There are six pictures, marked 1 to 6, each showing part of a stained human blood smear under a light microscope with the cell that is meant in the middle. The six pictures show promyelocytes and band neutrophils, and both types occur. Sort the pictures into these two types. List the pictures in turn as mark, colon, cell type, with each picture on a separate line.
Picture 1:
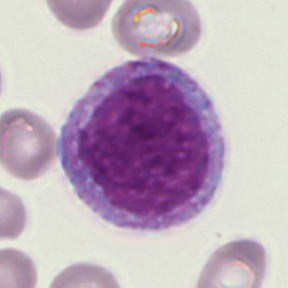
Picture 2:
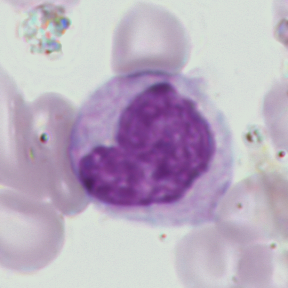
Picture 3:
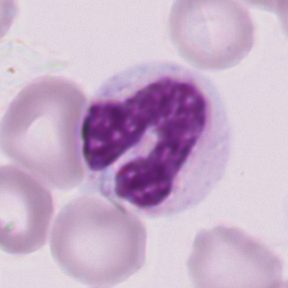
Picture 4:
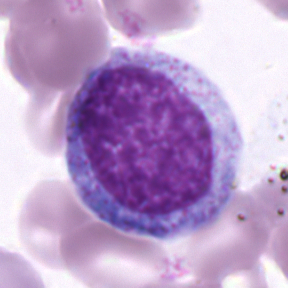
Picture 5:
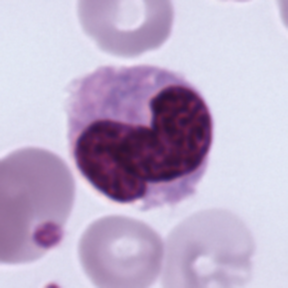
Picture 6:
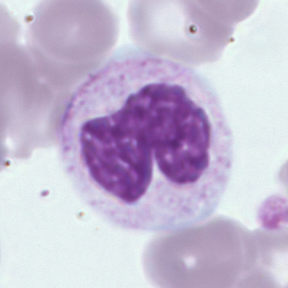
1: promyelocyte
2: band neutrophil
3: band neutrophil
4: promyelocyte
5: band neutrophil
6: band neutrophil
